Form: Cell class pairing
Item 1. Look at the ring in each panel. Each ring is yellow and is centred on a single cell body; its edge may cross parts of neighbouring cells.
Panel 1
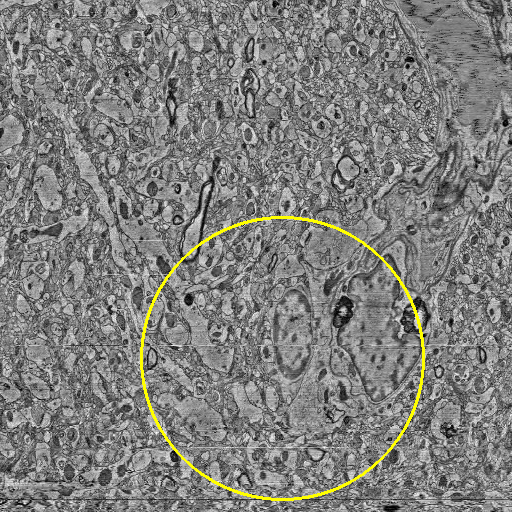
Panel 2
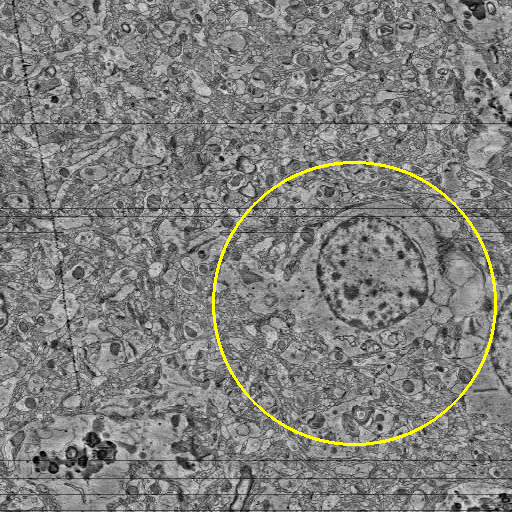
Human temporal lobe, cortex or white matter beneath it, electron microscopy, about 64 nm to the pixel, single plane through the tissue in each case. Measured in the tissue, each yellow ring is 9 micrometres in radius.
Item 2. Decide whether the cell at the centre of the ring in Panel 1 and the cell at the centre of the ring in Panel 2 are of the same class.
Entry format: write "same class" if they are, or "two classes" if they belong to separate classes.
two classes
